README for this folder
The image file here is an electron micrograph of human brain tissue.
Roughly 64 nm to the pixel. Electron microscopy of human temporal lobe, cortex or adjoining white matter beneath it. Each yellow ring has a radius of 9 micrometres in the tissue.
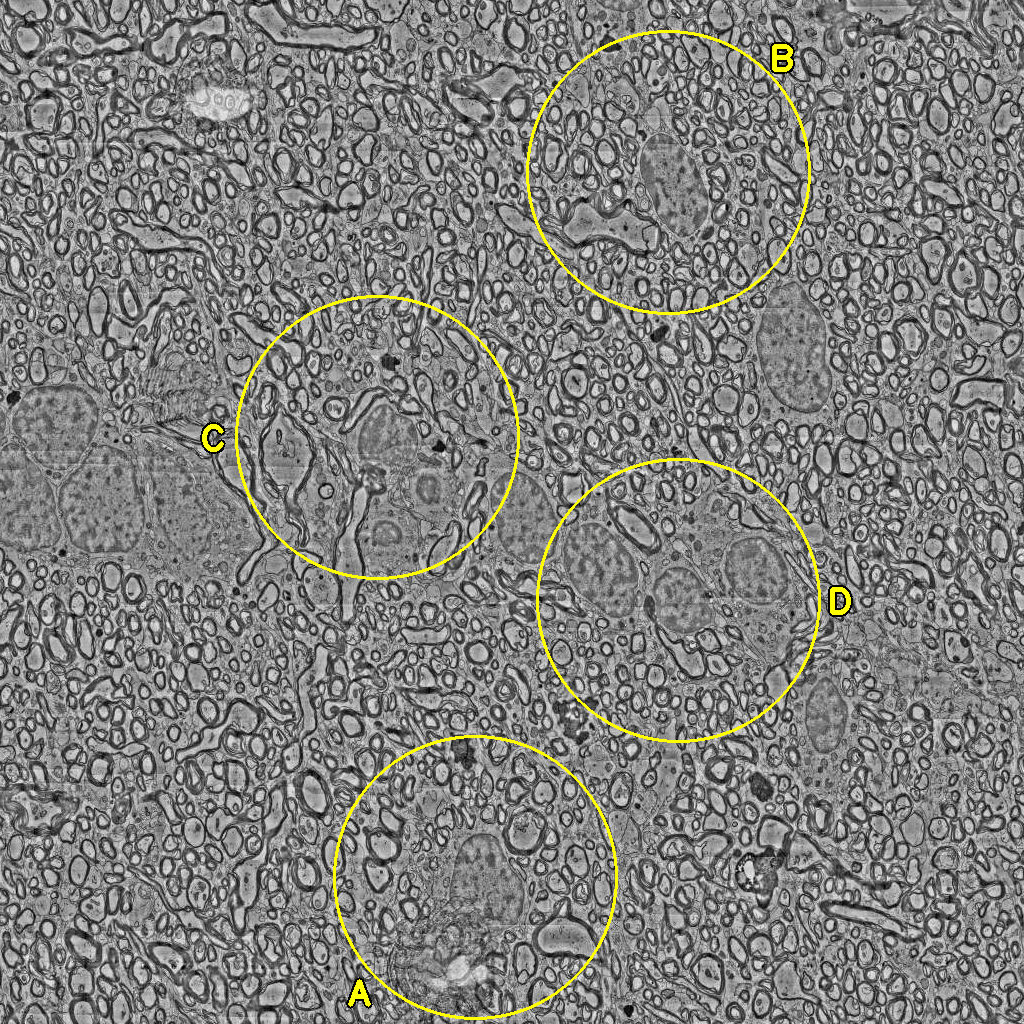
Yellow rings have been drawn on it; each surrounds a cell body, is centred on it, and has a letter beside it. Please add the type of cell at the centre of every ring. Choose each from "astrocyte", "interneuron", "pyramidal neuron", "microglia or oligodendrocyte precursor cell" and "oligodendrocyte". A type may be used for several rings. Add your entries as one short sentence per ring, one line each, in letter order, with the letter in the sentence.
Ring A marks the cell body of an oligodendrocyte.
Ring B marks the cell body of a microglial cell or oligodendrocyte precursor cell.
Ring C marks the cell body of an oligodendrocyte.
Ring D marks the cell body of an oligodendrocyte.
